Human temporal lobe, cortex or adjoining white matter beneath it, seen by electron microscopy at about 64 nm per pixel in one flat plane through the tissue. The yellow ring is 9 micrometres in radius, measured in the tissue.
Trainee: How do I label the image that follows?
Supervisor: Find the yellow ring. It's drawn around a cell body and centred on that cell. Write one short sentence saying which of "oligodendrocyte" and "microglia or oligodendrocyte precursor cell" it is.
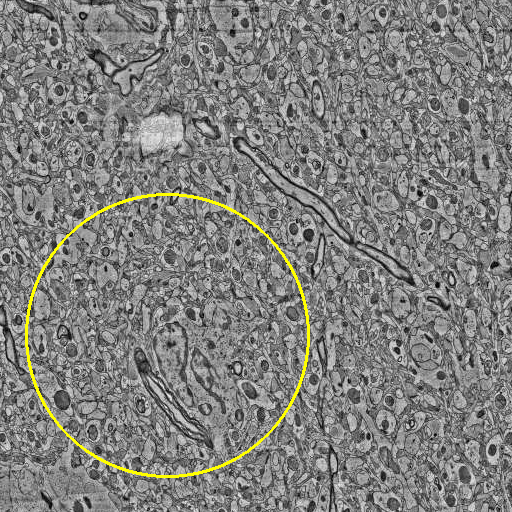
This is the cell body of a microglial cell or oligodendrocyte precursor cell.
